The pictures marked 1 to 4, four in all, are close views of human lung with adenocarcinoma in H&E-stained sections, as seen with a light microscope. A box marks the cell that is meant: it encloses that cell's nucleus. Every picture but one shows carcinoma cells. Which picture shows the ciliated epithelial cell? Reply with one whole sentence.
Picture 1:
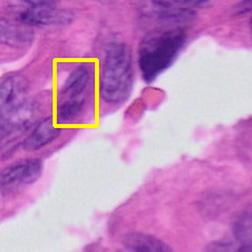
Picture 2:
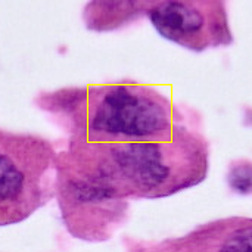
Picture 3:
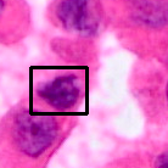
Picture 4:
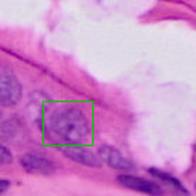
The ciliated epithelial cell is the one in picture 4.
